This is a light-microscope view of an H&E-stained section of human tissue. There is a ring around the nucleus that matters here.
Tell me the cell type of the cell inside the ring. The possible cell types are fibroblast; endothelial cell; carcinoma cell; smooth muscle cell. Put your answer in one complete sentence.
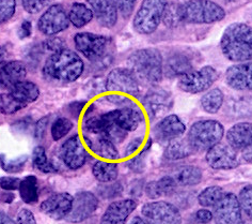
The cell inside the ring appears to be a carcinoma cell.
